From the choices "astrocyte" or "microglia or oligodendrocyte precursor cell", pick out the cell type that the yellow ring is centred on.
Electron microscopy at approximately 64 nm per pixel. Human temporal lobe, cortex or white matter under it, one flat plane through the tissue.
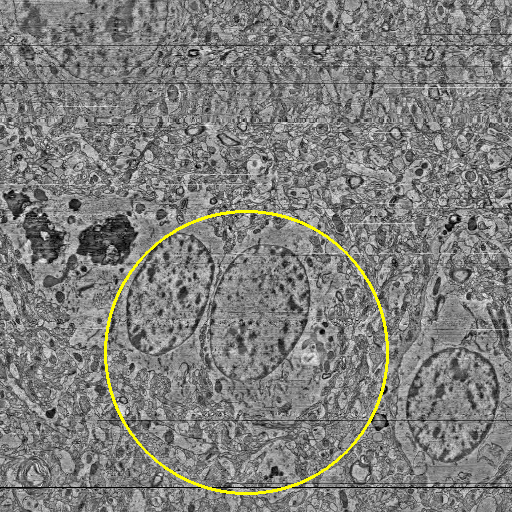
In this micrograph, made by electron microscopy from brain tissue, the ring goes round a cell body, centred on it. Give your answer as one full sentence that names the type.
The yellow ring is centred on an astrocyte, whose cell body it encircles in the picture.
